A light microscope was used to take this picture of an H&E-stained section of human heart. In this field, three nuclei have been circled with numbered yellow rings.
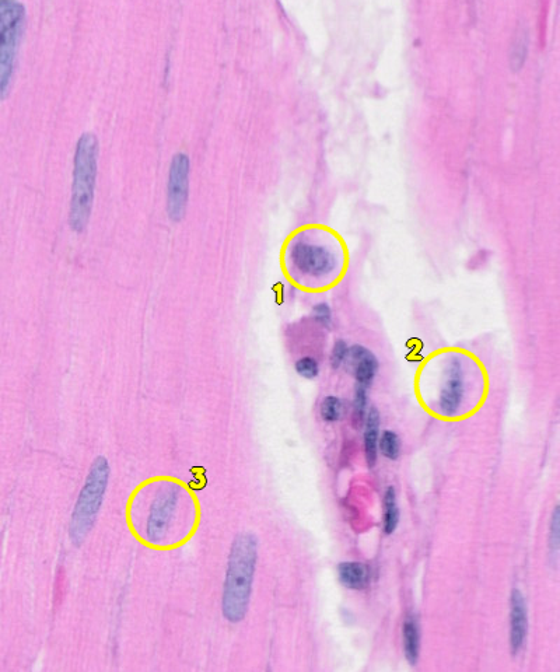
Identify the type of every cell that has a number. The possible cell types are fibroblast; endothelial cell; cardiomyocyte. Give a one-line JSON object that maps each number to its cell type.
{"1": "fibroblast", "2": "fibroblast", "3": "cardiomyocyte"}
